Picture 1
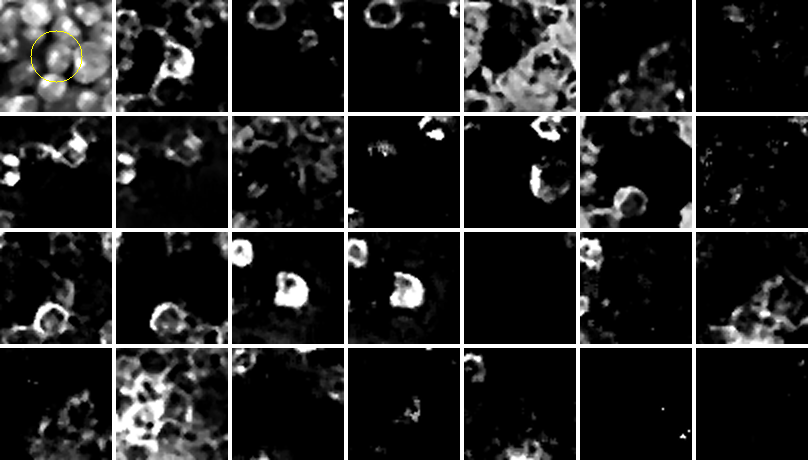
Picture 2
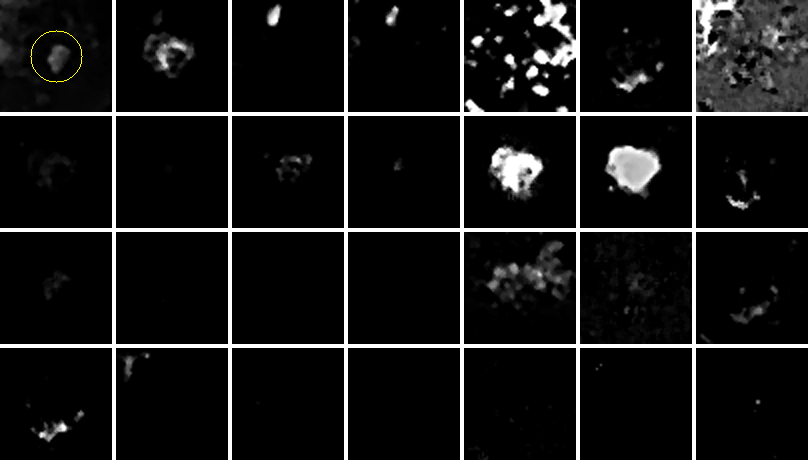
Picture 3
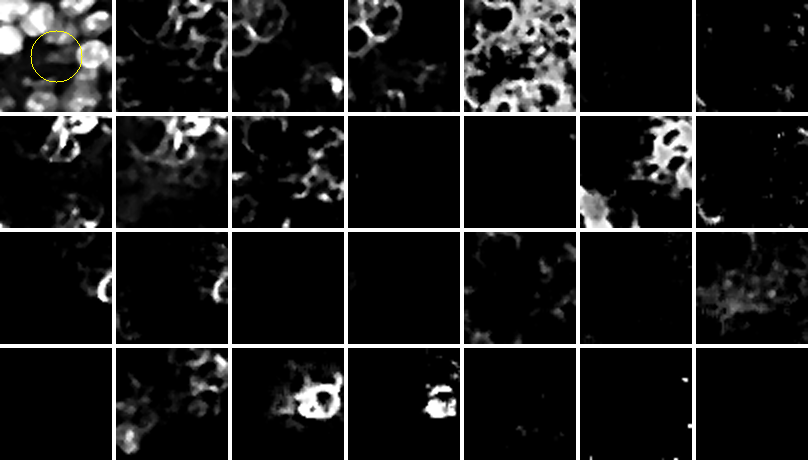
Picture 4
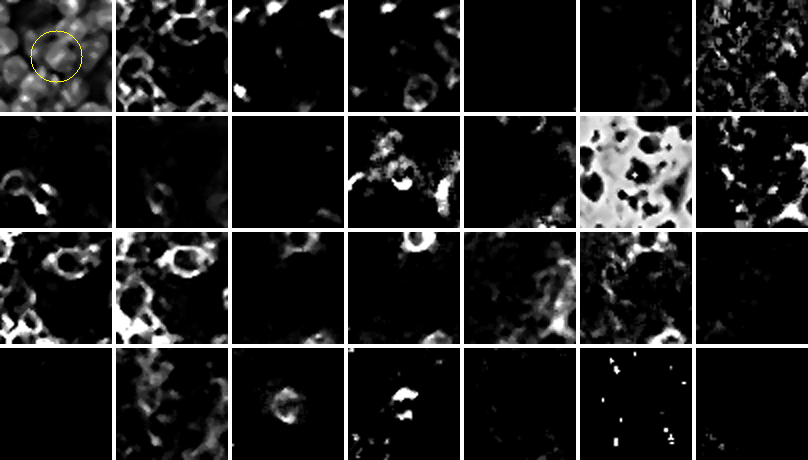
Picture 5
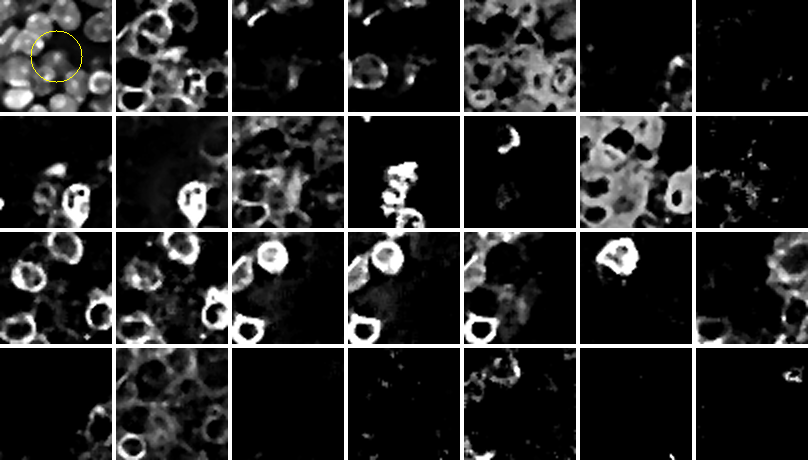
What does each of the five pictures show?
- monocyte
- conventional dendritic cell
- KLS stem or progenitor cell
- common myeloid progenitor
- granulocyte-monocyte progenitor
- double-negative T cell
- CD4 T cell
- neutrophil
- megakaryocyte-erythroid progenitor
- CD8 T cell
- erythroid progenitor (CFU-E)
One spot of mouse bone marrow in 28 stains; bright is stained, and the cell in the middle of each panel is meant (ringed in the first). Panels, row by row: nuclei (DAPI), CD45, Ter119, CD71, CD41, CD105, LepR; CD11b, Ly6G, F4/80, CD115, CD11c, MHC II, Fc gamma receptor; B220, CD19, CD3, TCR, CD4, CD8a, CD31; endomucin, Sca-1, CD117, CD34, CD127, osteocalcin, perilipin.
(1) double-negative T cell
(2) conventional dendritic cell
(3) megakaryocyte-erythroid progenitor
(4) common myeloid progenitor
(5) monocyte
